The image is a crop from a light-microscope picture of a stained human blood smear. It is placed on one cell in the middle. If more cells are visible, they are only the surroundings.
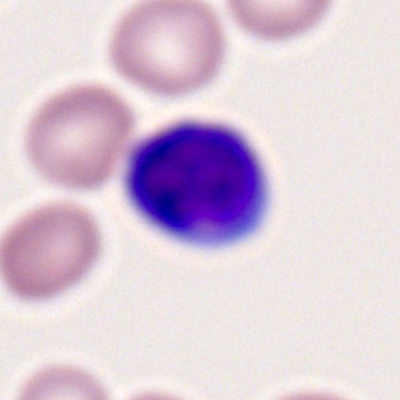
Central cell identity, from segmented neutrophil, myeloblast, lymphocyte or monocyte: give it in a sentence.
Answering briefly, the cell in the middle is a lymphocyte.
